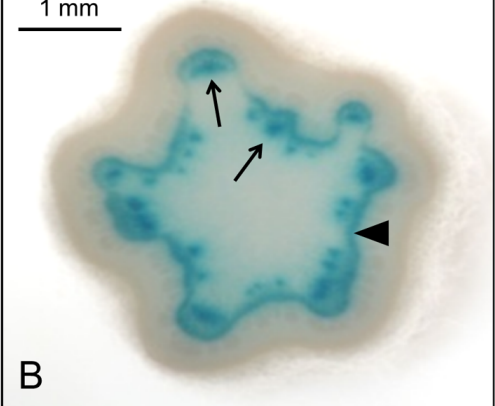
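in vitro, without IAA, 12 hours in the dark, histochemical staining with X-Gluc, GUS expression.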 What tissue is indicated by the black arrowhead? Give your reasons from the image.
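Cambial zone. The arrowhead points at a thin blue ring running around the section. The ring lies between the outer grey band and the pale centre.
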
